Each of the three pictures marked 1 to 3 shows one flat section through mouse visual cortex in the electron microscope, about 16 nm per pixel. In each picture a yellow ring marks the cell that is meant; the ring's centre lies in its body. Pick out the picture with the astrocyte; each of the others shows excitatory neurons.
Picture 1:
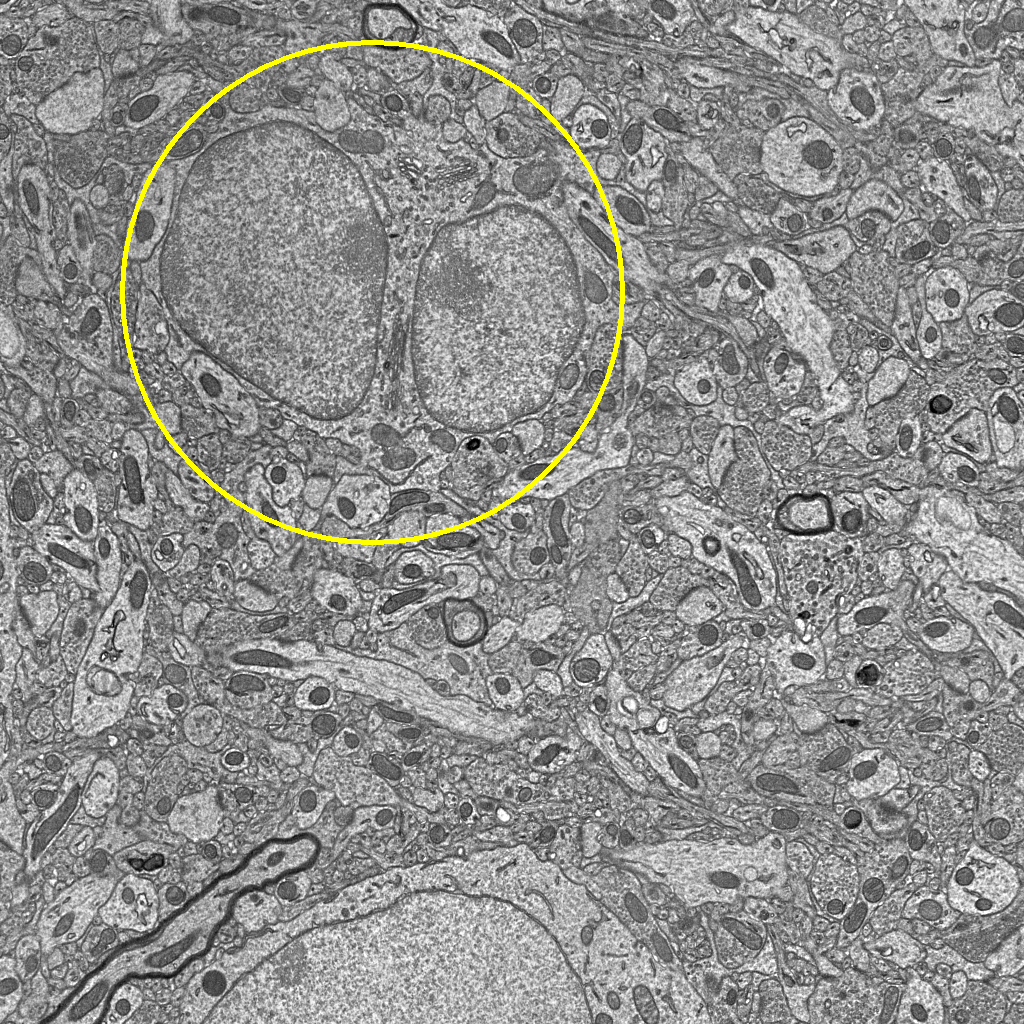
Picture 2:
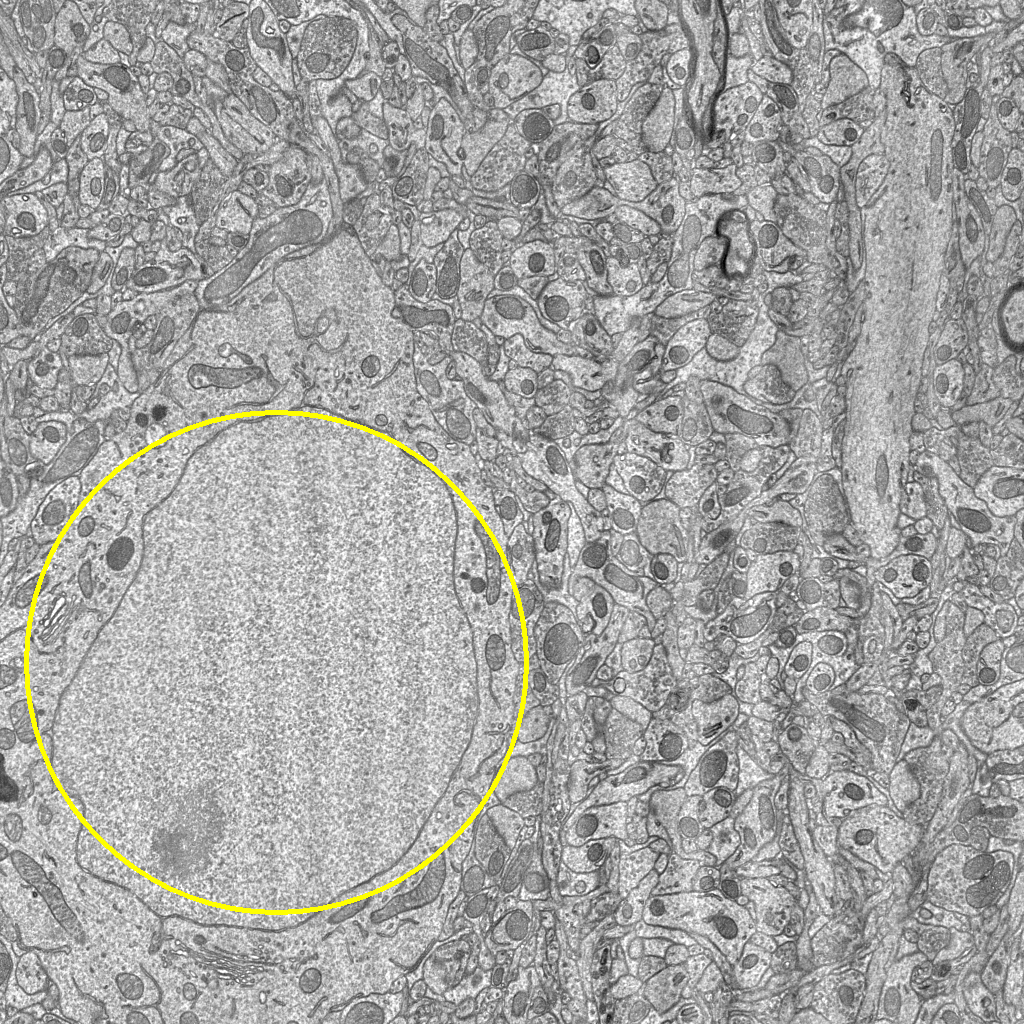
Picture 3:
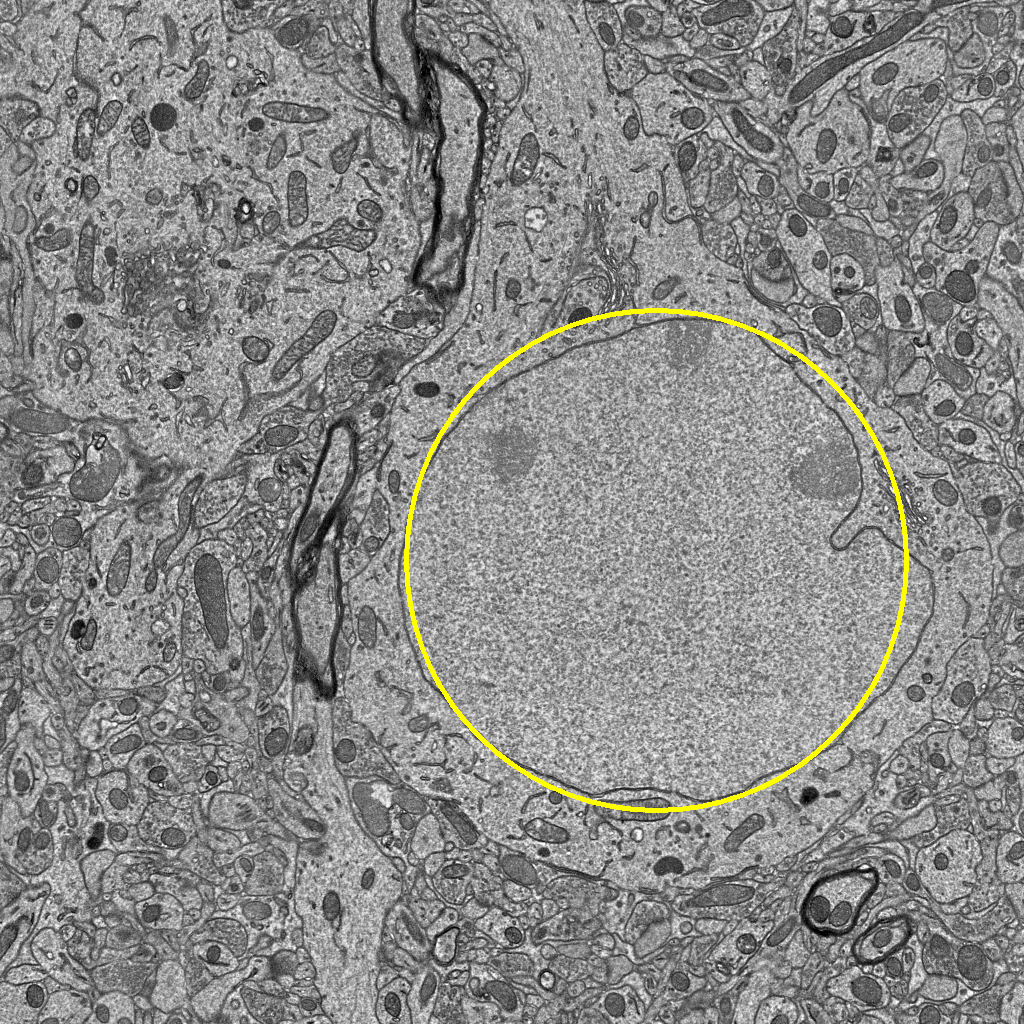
Picture 1 shows the astrocyte.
